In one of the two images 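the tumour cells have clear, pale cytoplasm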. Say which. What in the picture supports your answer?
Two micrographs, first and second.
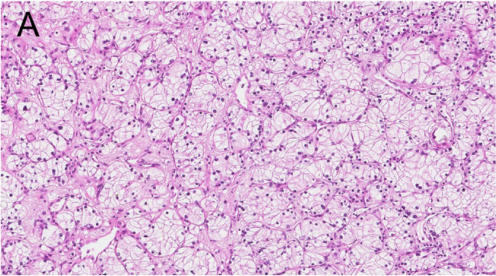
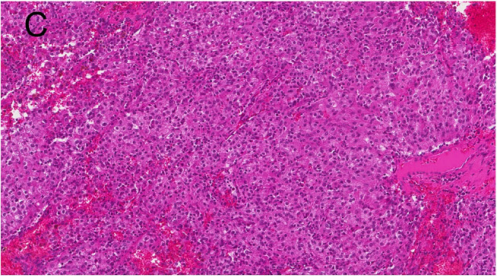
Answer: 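The first image. Second image: cells in solid sheets with dense pink cytoplasm. First image: cells with empty-looking pale cytoplasm in nests.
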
